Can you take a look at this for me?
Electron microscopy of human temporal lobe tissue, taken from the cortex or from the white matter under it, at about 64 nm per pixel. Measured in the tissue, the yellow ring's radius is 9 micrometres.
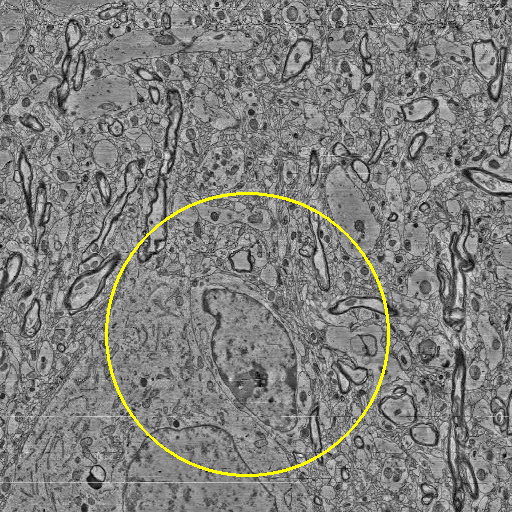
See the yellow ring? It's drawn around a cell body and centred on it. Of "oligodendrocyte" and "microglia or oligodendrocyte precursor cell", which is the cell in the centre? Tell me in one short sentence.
The one in the centre is a microglial cell or oligodendrocyte precursor cell.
